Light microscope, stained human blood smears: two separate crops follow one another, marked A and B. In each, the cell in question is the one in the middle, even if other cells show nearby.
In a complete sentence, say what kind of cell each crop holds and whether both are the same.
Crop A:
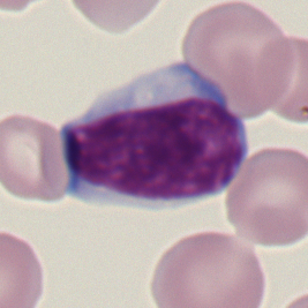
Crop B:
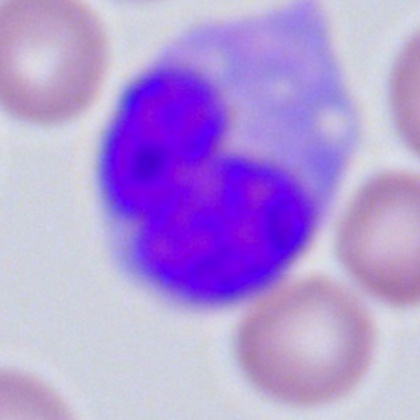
No, sorry, crop A shows a lymphocyte and crop B shows a monocyte.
